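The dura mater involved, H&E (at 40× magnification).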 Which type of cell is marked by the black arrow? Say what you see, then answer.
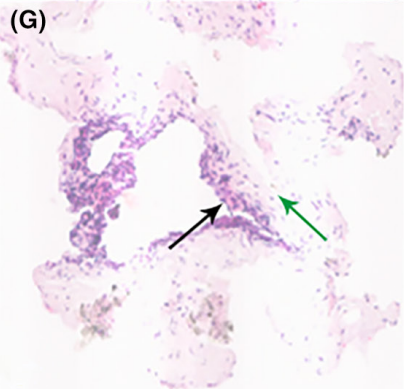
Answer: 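Clusters and bands of purple-staining nuclei lie within pale pink fibrous tissue. The dense cell clusters contrast with the sparsely cellular surrounding tissue.
Conclusion: tumor cells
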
